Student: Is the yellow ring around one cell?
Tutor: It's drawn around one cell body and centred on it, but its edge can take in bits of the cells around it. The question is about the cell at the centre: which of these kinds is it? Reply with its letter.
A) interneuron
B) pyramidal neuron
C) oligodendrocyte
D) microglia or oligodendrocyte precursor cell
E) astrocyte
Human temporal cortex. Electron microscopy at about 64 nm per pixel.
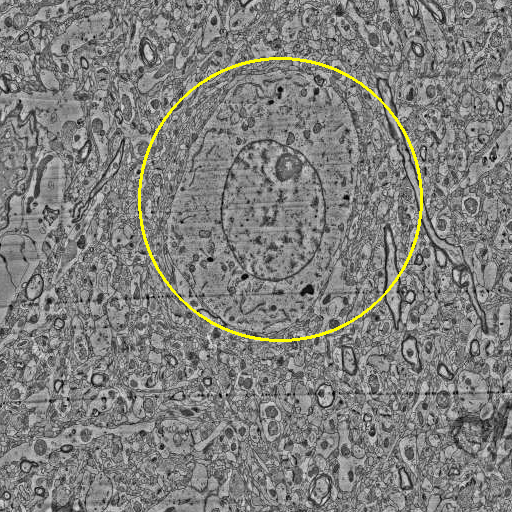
B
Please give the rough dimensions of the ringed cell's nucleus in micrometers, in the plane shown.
The ringed cell's nucleus is about 9 micrometres long and 7 micrometres wide in this plane.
